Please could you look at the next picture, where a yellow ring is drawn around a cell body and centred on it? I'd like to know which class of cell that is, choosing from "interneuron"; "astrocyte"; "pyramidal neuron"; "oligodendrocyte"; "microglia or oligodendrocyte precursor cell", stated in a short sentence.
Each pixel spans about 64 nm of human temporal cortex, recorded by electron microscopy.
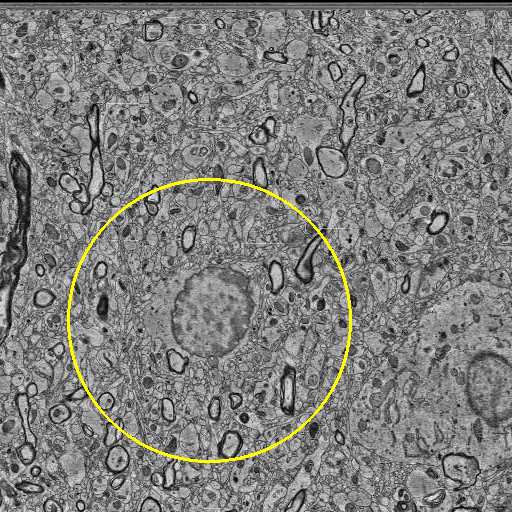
The ring's centre lies on an oligodendrocyte.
